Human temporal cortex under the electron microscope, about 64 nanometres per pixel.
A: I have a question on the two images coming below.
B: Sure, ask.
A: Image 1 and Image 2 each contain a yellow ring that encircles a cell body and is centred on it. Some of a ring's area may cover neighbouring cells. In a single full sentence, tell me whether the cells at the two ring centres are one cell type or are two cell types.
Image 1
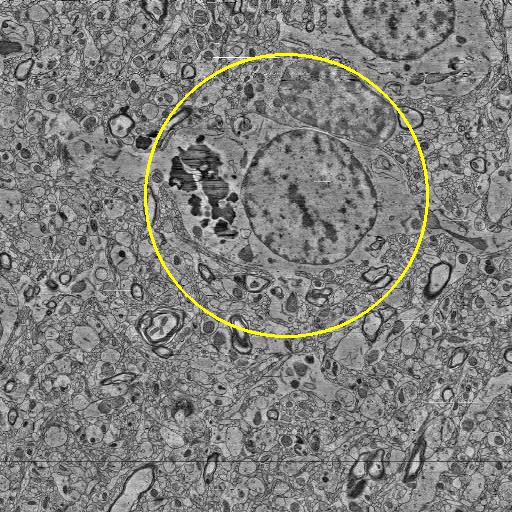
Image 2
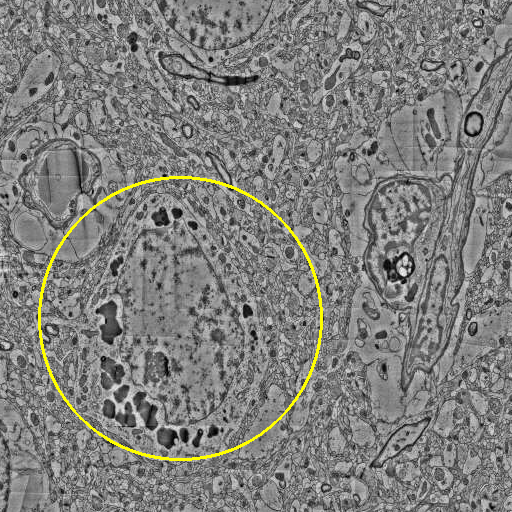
As for the ring-centre cells, the one in Image 1 and the one in Image 2 are two cell types.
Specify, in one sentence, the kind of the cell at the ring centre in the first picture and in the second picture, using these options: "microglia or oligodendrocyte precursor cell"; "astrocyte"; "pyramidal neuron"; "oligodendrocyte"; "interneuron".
So the first is an astrocyte, the second an interneuron.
